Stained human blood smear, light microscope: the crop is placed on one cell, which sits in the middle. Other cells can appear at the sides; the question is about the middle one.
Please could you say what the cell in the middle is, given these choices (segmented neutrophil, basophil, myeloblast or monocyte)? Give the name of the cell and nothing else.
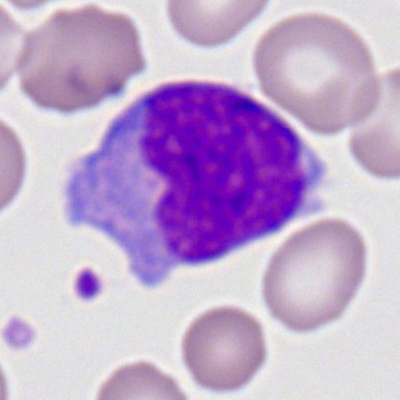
monocyte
